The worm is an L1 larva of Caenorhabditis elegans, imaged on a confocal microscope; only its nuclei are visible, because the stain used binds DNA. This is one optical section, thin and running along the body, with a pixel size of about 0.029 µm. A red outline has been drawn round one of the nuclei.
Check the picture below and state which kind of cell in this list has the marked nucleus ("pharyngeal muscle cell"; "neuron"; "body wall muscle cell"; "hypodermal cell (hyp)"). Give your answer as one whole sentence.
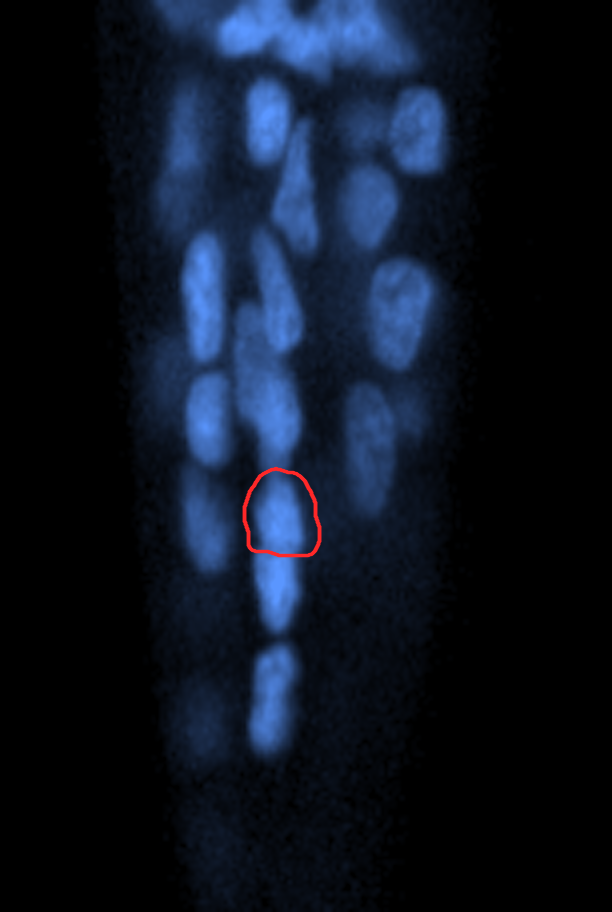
It belongs to a pharyngeal muscle cell.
